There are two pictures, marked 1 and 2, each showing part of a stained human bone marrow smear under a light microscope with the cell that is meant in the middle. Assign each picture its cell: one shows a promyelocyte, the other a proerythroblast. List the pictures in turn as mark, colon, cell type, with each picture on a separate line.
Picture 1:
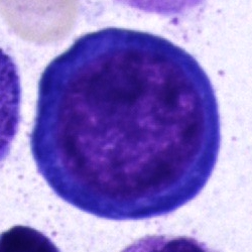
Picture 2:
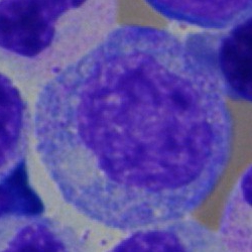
1: proerythroblast
2: promyelocyte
